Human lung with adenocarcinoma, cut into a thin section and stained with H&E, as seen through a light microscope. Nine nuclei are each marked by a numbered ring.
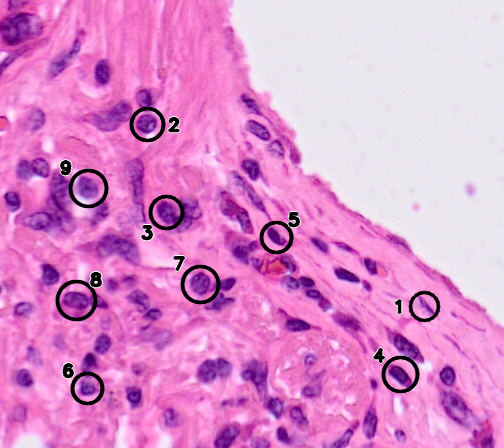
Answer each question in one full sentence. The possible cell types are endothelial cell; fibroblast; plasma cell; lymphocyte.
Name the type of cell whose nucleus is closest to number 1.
The cell nearest to number 1 is a plasma cell.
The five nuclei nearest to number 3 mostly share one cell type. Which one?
The majority of the five nuclei closest to number 3 belong to endothelial cells.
